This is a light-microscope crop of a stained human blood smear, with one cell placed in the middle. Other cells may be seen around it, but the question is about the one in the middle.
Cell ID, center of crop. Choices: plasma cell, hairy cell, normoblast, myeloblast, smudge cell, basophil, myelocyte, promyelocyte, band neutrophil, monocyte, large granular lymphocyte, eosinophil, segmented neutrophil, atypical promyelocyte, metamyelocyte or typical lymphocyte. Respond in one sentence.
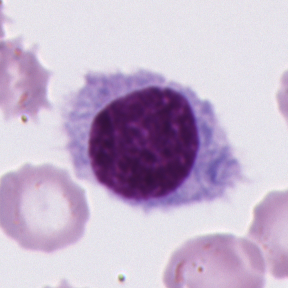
The cell nearest the centre of this crop is a hairy cell.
